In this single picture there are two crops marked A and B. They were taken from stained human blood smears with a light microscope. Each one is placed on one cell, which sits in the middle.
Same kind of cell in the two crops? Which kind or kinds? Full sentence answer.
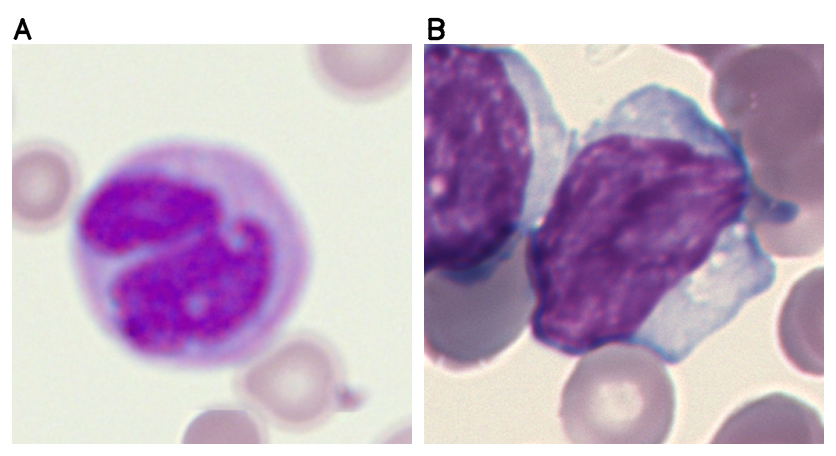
No, crop A displays a monocyte and crop B displays a blast.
